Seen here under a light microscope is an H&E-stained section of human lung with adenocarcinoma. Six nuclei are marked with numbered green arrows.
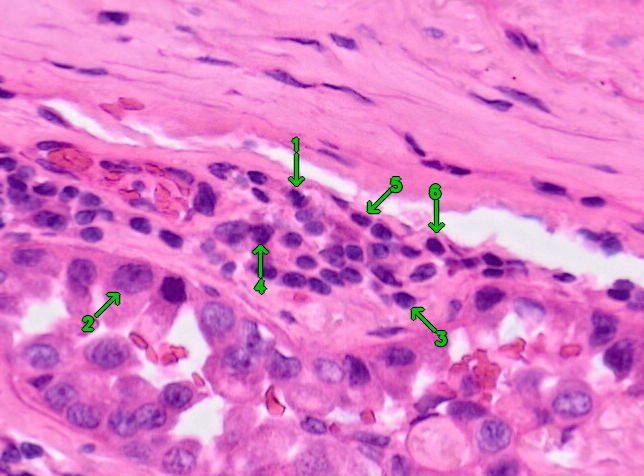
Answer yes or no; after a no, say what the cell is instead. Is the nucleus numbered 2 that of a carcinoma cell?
Yes.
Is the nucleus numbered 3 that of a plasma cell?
No, it is a lymphocyte.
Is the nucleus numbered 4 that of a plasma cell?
Yes.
